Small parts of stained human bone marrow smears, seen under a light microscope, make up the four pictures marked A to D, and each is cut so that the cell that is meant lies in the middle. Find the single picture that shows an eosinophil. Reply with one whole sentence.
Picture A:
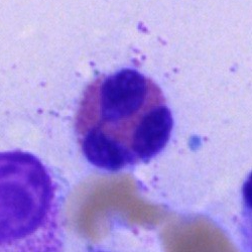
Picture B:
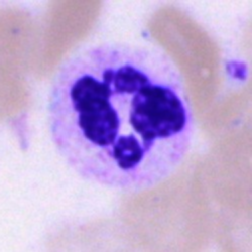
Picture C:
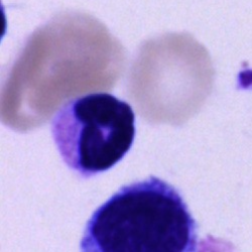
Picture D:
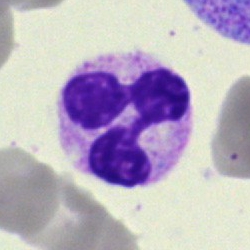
The picture with the eosinophil is A.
